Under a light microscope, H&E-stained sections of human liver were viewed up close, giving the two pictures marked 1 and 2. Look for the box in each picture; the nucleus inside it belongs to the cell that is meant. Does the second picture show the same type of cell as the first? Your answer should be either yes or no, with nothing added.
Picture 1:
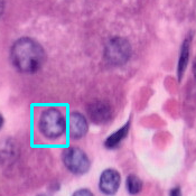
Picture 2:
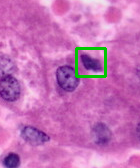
no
